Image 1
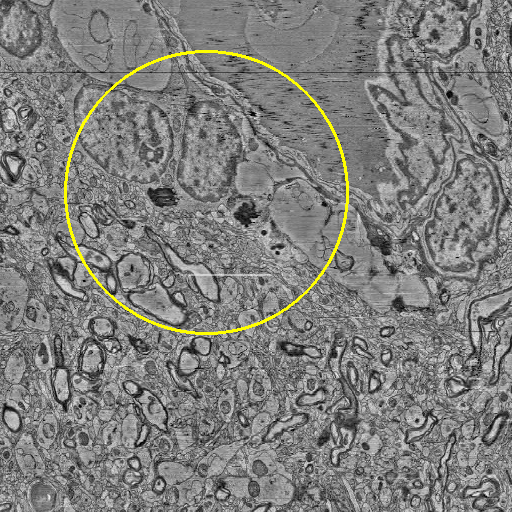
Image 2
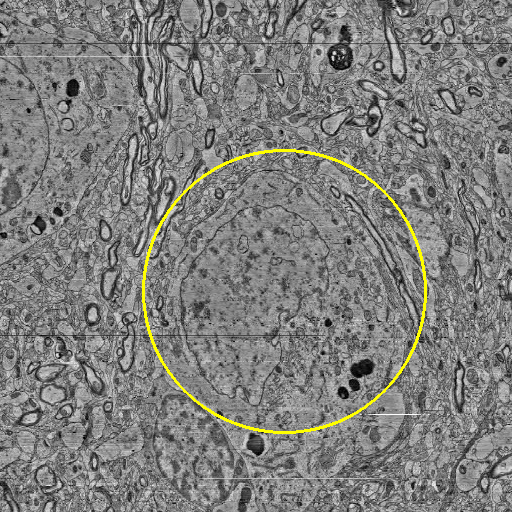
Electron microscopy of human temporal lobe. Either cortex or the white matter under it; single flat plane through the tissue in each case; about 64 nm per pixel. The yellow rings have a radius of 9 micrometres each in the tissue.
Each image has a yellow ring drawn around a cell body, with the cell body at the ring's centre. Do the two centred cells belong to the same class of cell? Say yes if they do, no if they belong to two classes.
no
